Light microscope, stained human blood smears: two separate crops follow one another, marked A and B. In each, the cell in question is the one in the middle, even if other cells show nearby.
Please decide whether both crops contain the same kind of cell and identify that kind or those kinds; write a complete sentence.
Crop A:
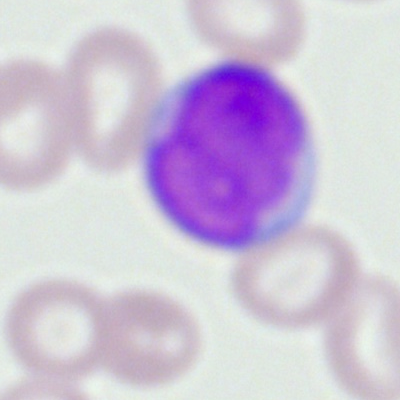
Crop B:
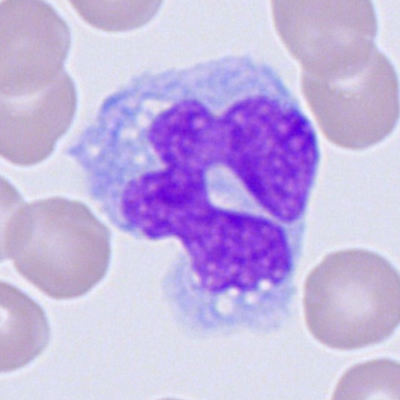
No, a myeloblast is depicted by crop A, a monocyte by crop B.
